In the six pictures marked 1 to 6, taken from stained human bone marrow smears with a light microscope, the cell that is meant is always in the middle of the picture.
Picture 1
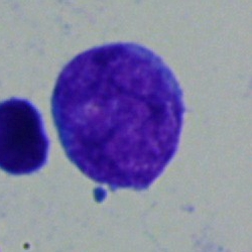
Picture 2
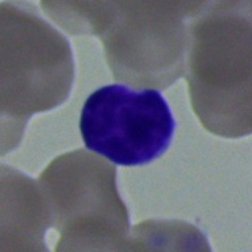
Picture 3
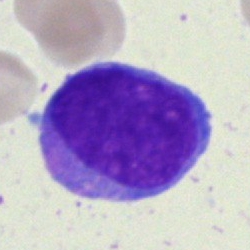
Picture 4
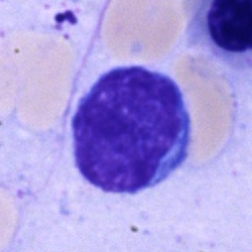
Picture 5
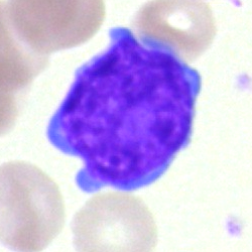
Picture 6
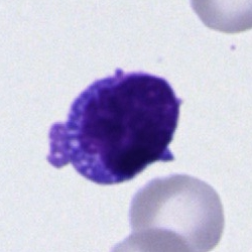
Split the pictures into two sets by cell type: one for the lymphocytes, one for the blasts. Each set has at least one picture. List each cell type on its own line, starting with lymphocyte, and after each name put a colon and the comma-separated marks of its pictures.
lymphocyte: 2, 4
blast: 1, 3, 5, 6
